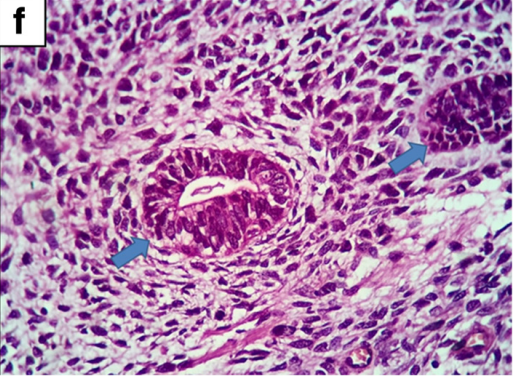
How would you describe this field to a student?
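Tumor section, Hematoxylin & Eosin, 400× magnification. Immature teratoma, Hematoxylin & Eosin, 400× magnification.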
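At high power this field shows small undifferentiated tumour cells with oval to spindle-shaped, dark purple nuclei and very little cytoplasm, lying in loose swirls. In the middle, tall cells with elongated, crowded nuclei are lined up side by side around a small central lumen, forming a tubule-like rosette of primitive neuroepithelium. At the right edge another tight cluster of dark, crowded nuclei forms a similar neuroepithelial element. The surrounding cells show no mature differentiation.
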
